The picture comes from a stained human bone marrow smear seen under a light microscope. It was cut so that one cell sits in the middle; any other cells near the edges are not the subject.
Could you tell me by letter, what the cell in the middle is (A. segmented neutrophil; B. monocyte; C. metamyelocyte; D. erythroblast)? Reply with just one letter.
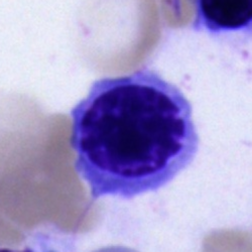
D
